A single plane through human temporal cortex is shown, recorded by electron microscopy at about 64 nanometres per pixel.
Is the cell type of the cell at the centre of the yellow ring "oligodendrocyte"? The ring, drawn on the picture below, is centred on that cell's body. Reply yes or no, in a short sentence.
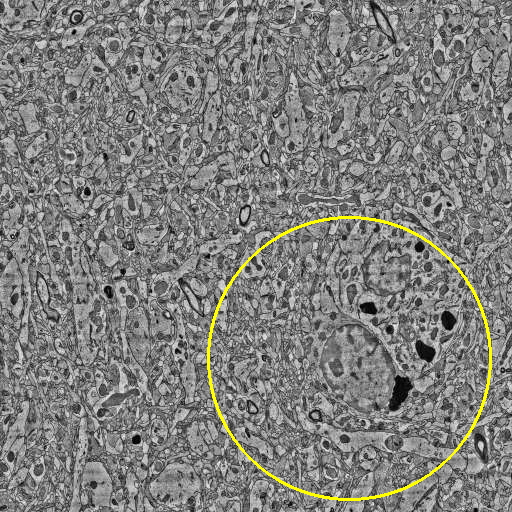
Yes, that is its cell type.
